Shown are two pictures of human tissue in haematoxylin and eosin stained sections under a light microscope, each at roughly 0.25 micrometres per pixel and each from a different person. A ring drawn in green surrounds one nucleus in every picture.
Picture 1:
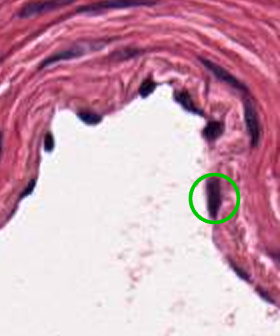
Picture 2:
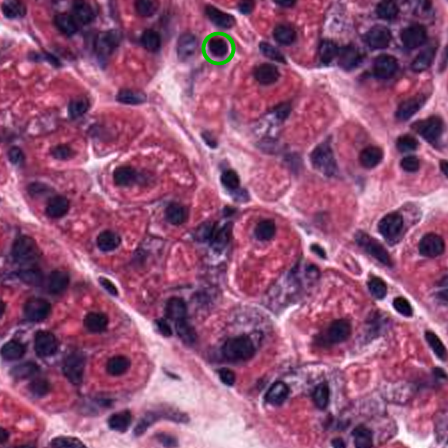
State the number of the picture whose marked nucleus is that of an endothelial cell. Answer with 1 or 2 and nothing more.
1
